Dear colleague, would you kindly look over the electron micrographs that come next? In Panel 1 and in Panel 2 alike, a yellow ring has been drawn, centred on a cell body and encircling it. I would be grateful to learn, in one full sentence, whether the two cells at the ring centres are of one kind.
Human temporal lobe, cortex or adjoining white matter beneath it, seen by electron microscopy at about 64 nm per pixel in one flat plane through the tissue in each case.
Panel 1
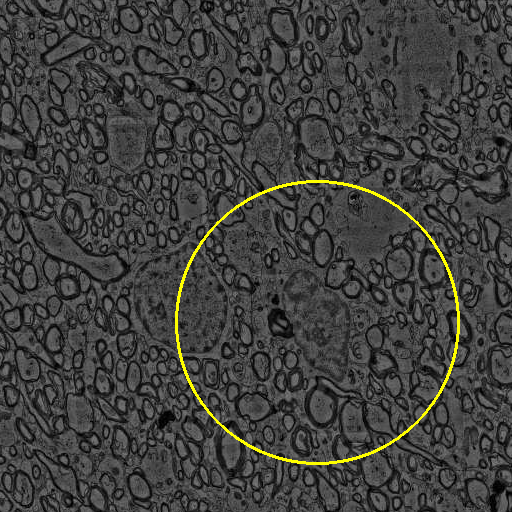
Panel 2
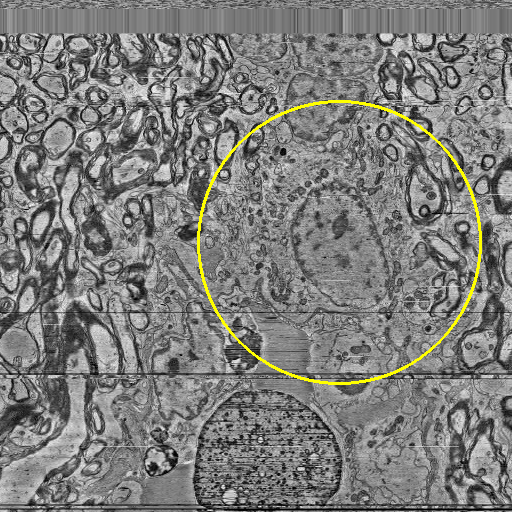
No, the cells in the middle of the rings in the two panels are of two kinds.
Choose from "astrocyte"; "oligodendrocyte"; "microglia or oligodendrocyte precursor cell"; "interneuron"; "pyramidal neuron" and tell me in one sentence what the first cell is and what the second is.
What the first ring is centred on is an oligodendrocyte; what the second ring is centred on is an astrocyte.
